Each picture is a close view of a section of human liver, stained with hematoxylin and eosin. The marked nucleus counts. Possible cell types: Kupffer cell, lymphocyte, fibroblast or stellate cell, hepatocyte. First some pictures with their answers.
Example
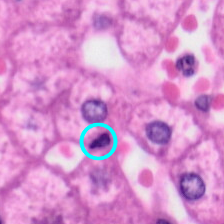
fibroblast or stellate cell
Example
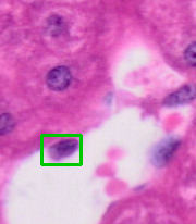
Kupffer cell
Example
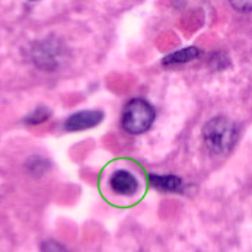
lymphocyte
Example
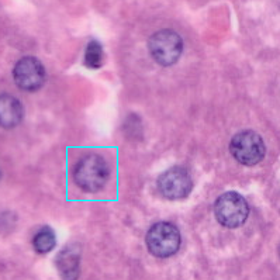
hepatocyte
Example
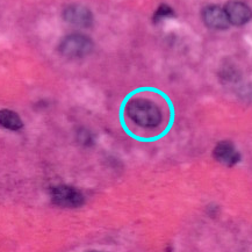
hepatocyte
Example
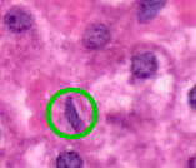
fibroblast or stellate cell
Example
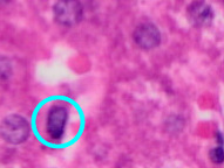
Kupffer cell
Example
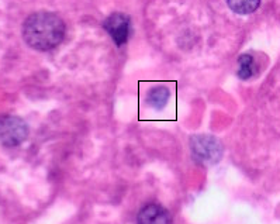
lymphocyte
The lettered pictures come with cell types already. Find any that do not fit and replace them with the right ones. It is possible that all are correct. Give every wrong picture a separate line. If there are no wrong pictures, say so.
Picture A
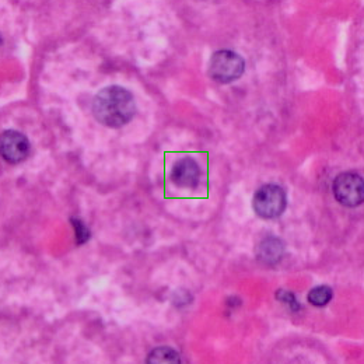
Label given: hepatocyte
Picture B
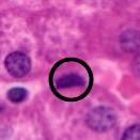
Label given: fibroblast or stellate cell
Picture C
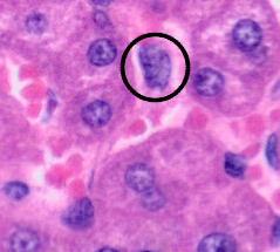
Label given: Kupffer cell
None of the labels needs changing.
